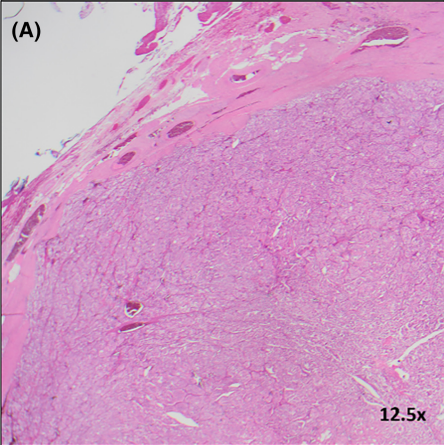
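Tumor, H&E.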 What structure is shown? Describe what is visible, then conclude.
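Fibrous capsule. A dense pink band of collagenous tissue runs along the upper left edge. The band separates the cellular tumor from the outside with a sharp border.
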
